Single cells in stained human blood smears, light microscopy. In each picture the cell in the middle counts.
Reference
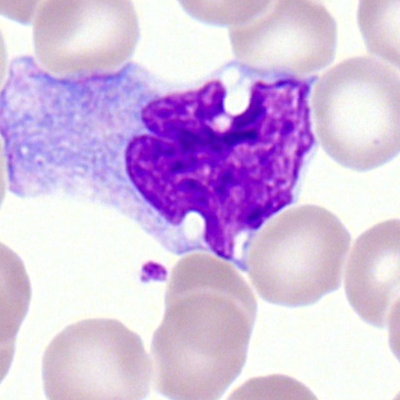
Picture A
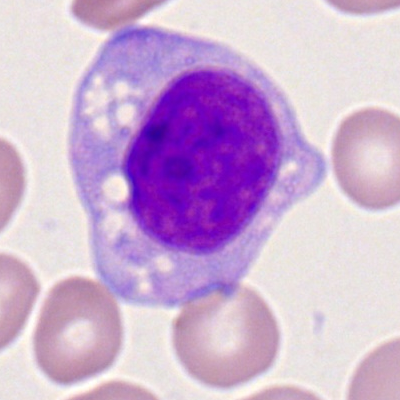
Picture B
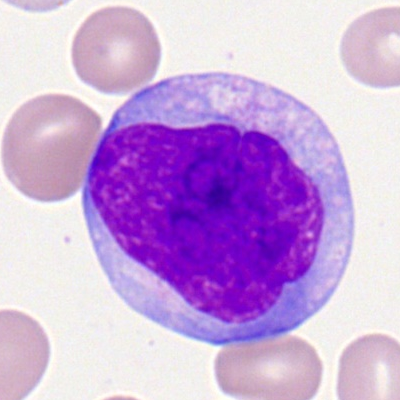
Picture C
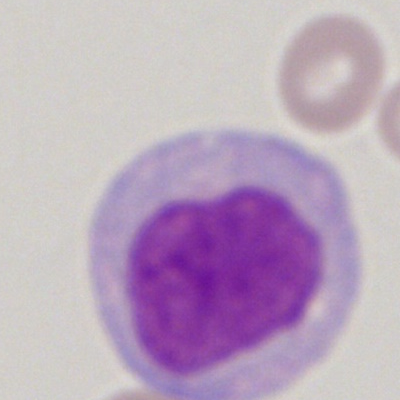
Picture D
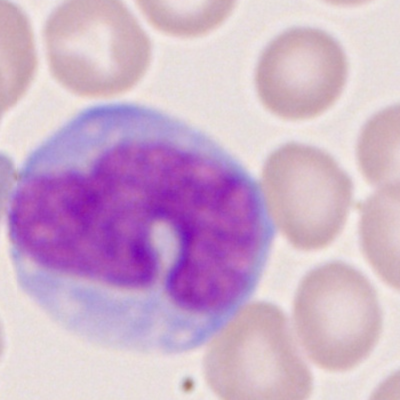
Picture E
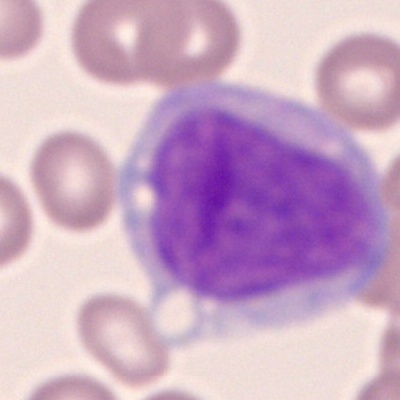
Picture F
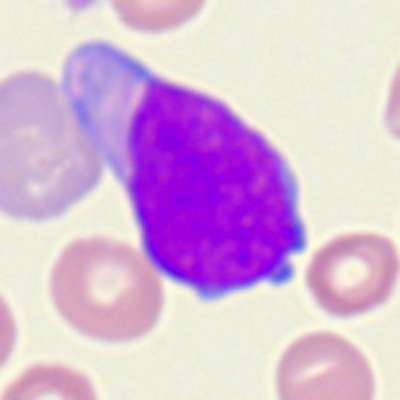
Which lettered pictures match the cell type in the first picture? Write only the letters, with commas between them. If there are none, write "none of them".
A, C, D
